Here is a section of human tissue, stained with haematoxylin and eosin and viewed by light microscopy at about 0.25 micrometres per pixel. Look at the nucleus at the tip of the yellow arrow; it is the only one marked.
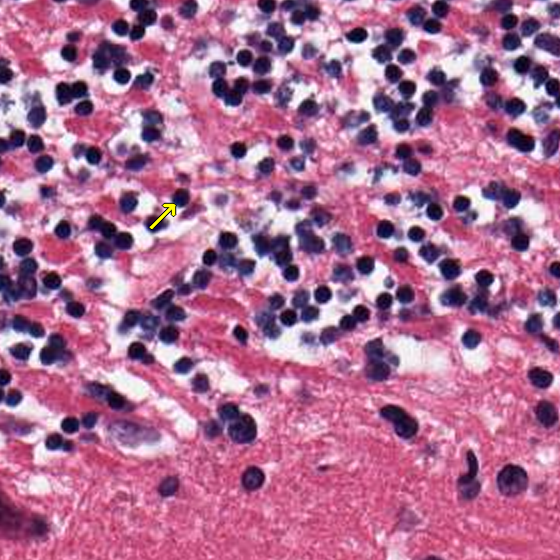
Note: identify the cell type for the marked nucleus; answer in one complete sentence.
Belonging to a cerebellar granule cell is the marked nucleus.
